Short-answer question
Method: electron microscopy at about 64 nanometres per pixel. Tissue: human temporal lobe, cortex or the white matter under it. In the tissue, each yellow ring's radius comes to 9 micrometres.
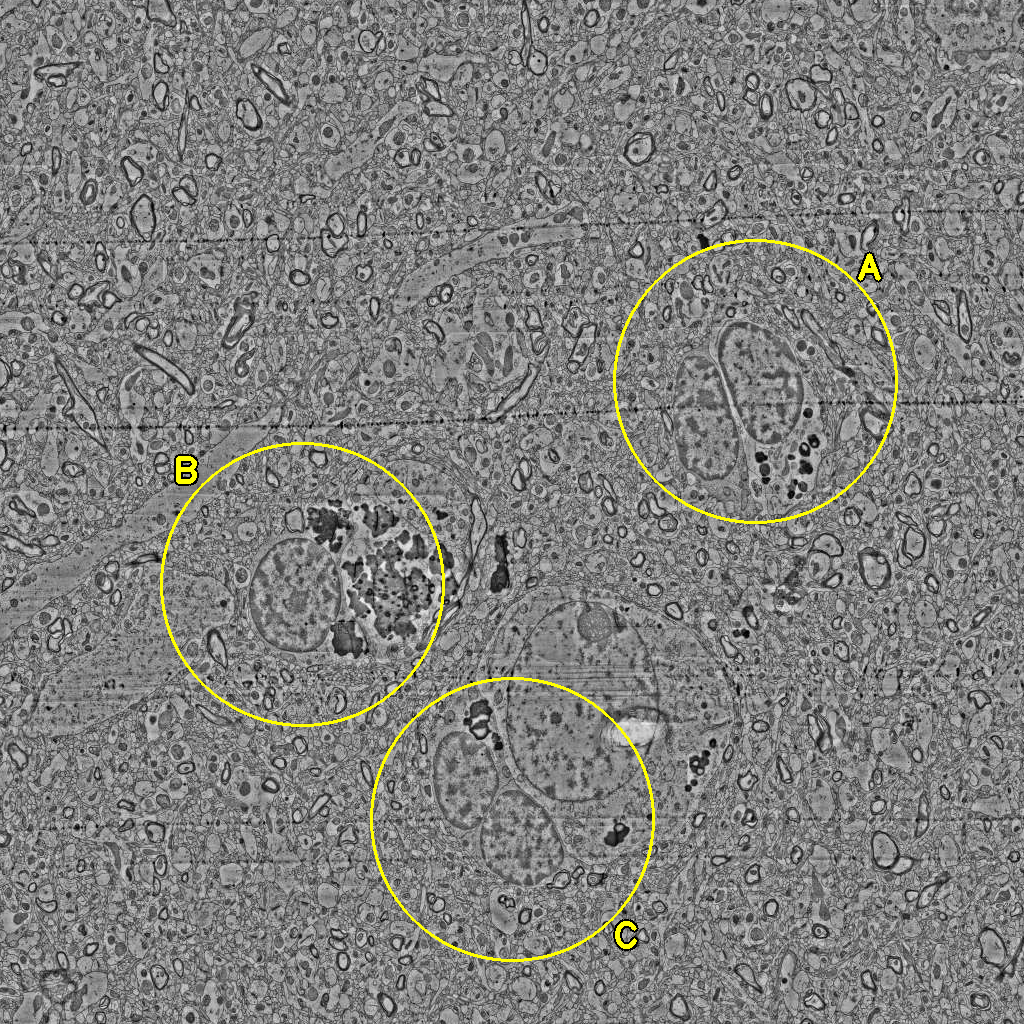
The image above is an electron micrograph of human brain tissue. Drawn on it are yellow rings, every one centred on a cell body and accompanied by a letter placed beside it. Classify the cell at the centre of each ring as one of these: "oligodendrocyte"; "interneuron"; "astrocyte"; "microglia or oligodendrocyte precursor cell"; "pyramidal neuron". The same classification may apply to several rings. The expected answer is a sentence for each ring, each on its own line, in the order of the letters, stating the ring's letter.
The cell at ring A is classified as a microglial cell or oligodendrocyte precursor cell.
The cell at ring B is classified as an oligodendrocyte.
The cell at ring C is classified as an oligodendrocyte.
